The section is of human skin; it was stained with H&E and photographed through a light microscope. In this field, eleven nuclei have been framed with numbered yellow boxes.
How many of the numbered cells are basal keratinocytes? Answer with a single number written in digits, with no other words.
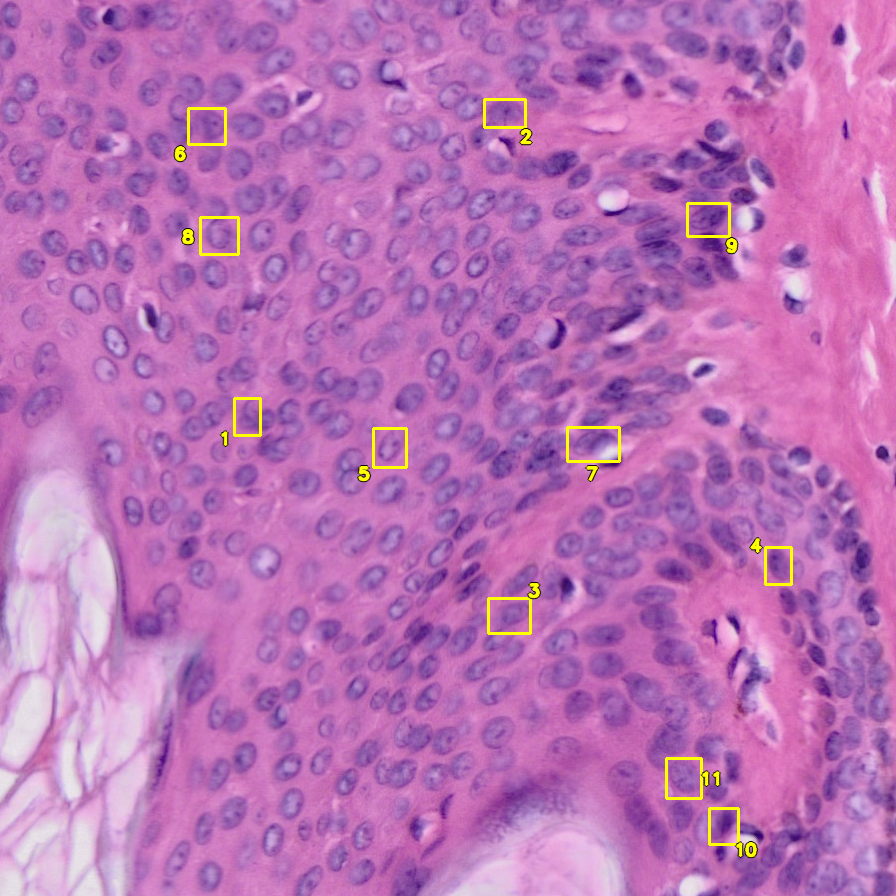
5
